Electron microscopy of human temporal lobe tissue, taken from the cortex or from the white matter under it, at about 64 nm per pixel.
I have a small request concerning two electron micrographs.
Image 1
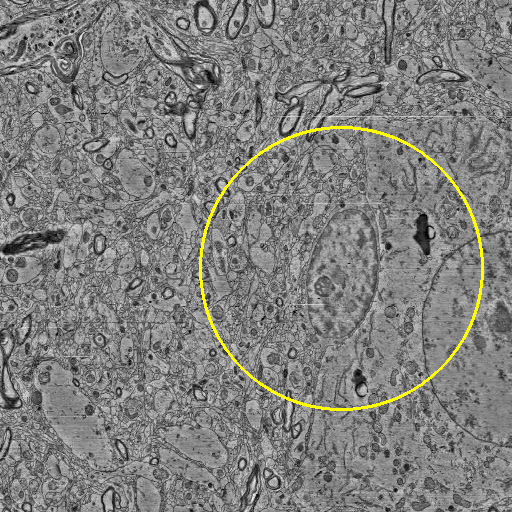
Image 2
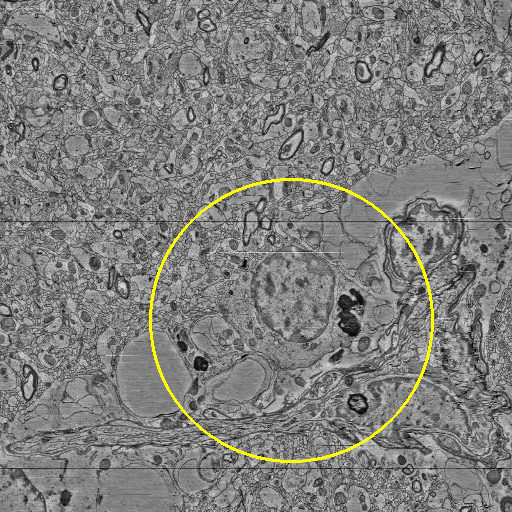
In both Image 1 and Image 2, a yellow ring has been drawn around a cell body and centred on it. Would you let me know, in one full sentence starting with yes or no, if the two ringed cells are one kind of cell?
Yes, the cells ringed in Image 1 and Image 2 are one kind of cell.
